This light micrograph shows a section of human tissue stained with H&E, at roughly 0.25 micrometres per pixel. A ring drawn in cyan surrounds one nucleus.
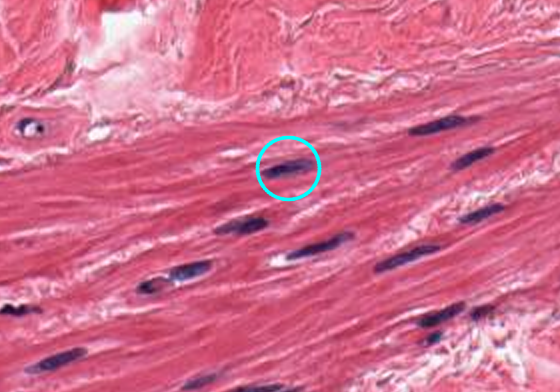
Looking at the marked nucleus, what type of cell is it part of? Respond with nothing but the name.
smooth muscle cell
